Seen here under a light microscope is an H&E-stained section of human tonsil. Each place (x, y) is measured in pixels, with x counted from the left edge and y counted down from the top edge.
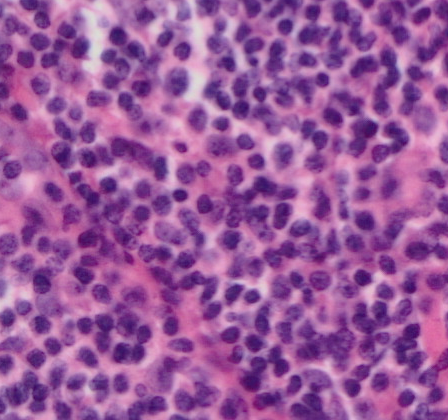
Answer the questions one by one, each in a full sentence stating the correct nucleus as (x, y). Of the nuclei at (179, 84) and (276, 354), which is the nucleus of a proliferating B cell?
Of the two nuclei, the one at (179, 84) belongs to a proliferating B cell.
